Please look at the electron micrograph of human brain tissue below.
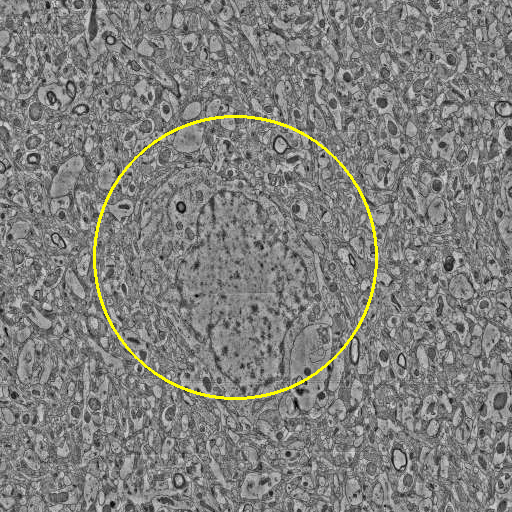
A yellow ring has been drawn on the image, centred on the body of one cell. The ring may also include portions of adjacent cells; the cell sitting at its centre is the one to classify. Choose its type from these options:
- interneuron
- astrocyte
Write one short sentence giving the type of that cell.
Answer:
The cell in the middle of the ring is an interneuron.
